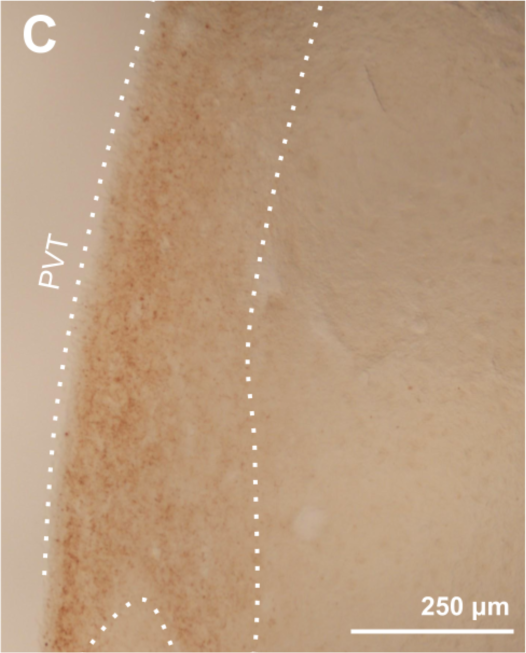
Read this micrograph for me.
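This is a low-power view of the midline thalamus beside the third ventricle, the pale space at the left. A curved band of tissue next to the ventricle, outlined by dotted lines, is thickly sprinkled with small brown dots, giving it a granular reddish-brown look, densest near the ventricular edge. To the right of the band the tissue is pale beige with only scattered brown specks, so the border between the stained strip and the neighbouring tissue is easy to follow. No individual nuclei are resolved at this magnification.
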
